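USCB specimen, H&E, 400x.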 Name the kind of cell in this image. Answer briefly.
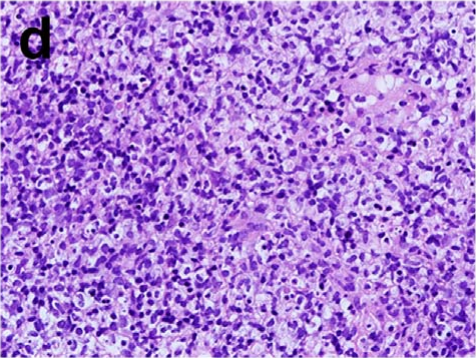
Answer: Histiocytes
